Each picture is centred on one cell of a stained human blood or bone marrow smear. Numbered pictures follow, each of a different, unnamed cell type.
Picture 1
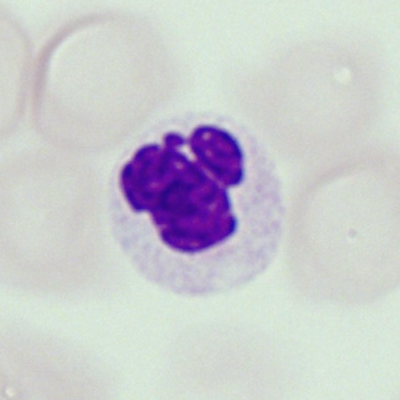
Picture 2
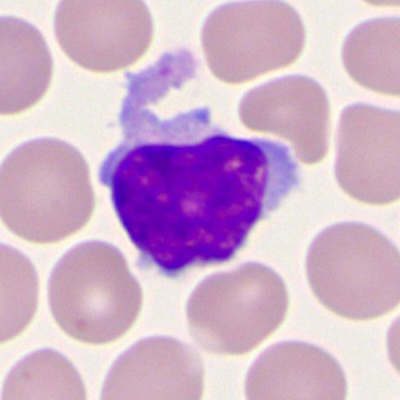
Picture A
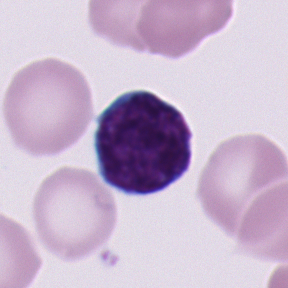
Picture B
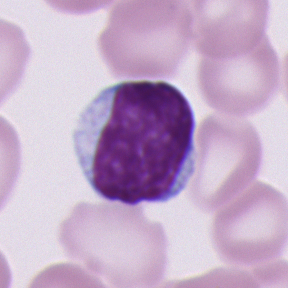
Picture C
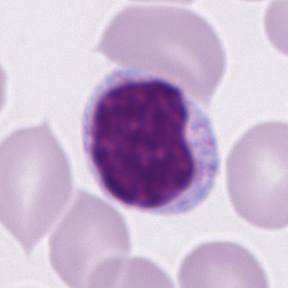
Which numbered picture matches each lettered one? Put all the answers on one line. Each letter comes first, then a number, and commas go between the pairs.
A 2, B 2, C 2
